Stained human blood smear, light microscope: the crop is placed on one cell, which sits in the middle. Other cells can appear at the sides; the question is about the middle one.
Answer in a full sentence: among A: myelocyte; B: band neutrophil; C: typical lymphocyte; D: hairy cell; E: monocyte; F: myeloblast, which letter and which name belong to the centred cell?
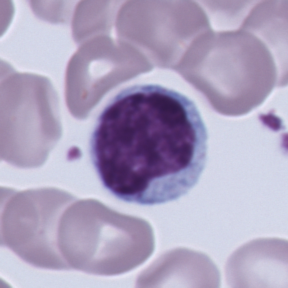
The cell at the centre, correctly named in option C, is a typical lymphocyte.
